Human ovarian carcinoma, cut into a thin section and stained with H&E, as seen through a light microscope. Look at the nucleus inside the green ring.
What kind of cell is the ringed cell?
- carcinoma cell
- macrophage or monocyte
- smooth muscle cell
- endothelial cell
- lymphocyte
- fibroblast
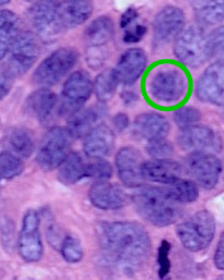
carcinoma cell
